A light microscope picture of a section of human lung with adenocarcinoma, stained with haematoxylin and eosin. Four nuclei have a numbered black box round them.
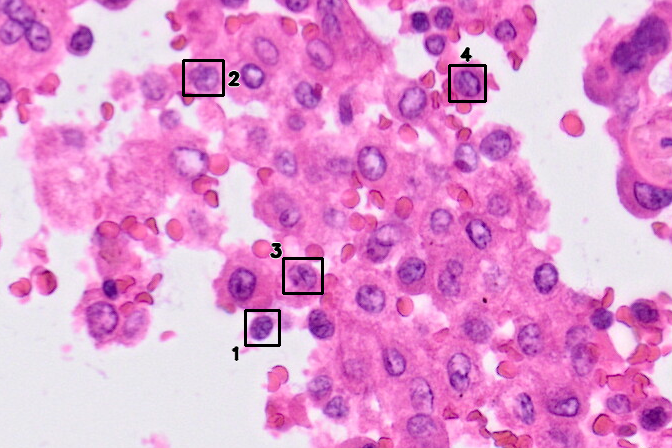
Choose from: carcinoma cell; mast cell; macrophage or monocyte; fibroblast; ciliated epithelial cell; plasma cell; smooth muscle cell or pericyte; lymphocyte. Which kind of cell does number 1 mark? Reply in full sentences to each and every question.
The cell numbered 1 represents a lymphocyte.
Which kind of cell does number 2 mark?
The nucleus labelled 2 belongs to a macrophage or monocyte.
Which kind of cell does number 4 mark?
In this section, number 4 marks a macrophage or monocyte.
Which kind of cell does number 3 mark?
Cell 3, among those numbered, is a macrophage or monocyte.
